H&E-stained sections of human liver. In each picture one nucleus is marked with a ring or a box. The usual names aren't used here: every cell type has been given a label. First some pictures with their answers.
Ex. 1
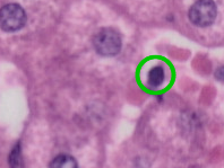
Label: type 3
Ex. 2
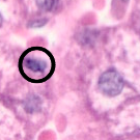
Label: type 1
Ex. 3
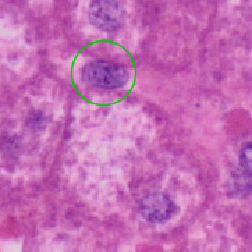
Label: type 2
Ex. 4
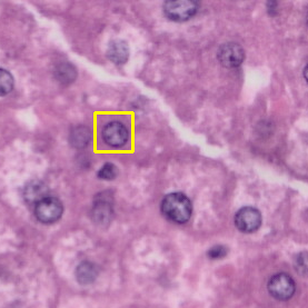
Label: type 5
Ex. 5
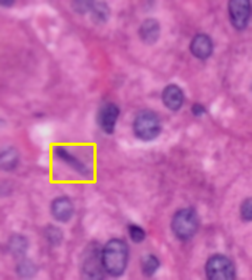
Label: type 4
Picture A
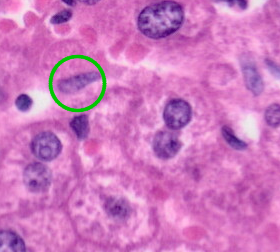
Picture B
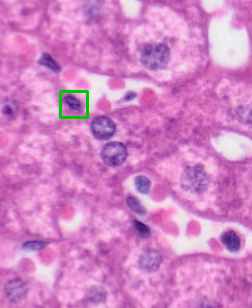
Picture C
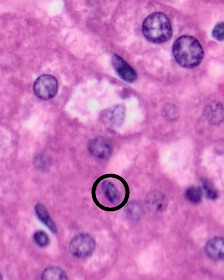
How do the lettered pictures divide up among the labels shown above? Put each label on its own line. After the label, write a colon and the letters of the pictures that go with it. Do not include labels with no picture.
type 1: C
type 4: A, B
